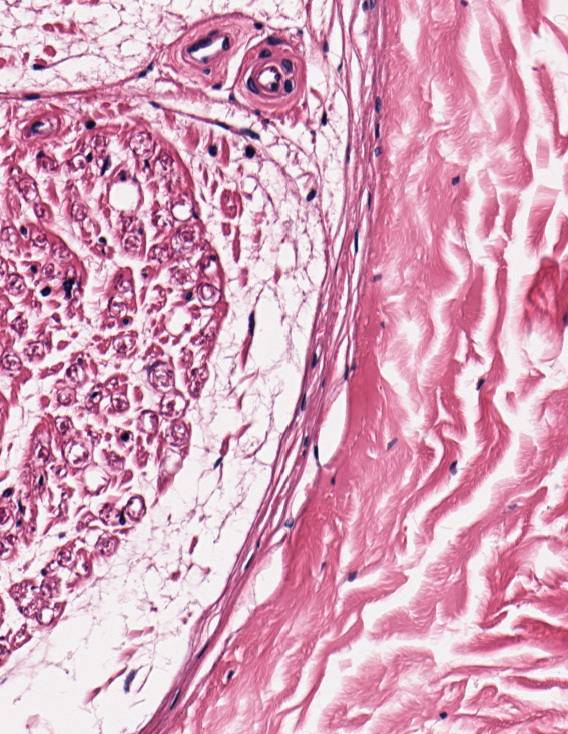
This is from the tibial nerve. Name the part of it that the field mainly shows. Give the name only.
epineurium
